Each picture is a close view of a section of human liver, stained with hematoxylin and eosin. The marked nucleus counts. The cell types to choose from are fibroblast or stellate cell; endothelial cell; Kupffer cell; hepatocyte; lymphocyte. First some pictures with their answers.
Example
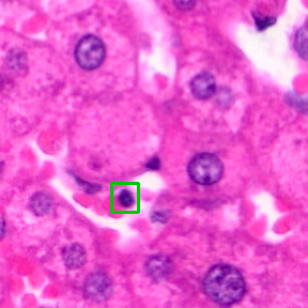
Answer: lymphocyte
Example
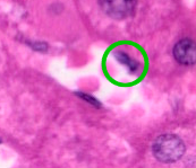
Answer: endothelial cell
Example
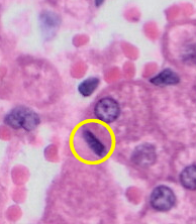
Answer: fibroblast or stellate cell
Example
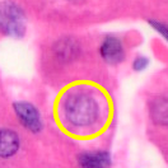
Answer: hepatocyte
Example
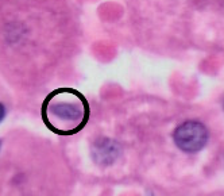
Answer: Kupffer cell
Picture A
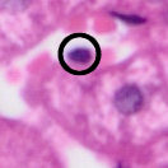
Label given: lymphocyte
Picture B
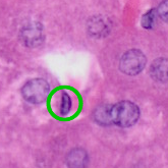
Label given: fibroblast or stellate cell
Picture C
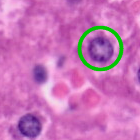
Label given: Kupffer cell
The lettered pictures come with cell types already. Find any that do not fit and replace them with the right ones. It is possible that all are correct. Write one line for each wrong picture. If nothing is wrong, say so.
C is labelled Kupffer cell; correct label: hepatocyte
